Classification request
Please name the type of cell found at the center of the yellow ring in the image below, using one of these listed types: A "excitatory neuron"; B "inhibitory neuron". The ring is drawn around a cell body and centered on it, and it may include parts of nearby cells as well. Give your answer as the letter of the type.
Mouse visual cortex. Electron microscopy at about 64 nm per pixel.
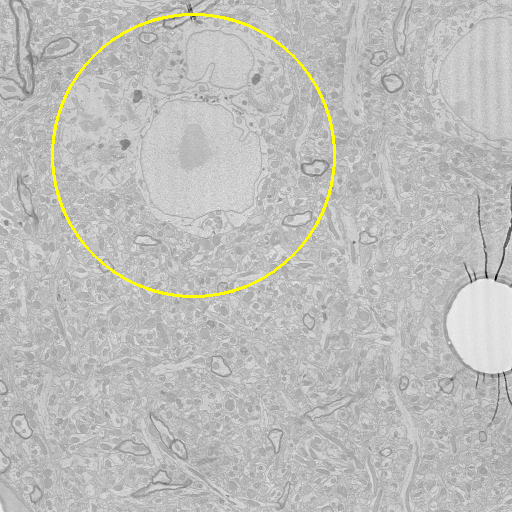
B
